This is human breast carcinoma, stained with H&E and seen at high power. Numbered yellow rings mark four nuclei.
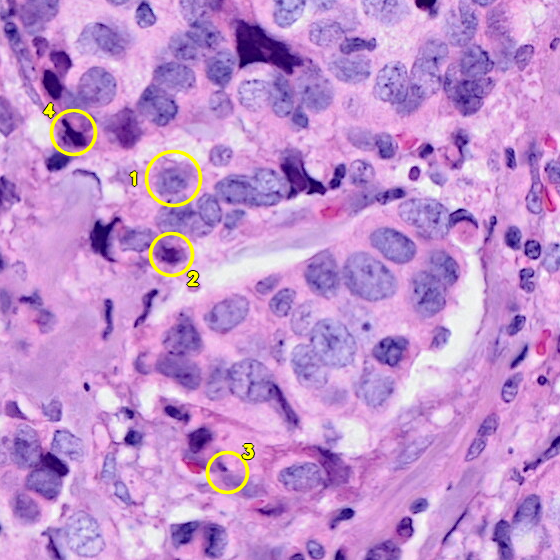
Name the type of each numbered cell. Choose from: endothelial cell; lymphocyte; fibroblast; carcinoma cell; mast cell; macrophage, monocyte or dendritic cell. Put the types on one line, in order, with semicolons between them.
carcinoma cell; carcinoma cell; endothelial cell; carcinoma cell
